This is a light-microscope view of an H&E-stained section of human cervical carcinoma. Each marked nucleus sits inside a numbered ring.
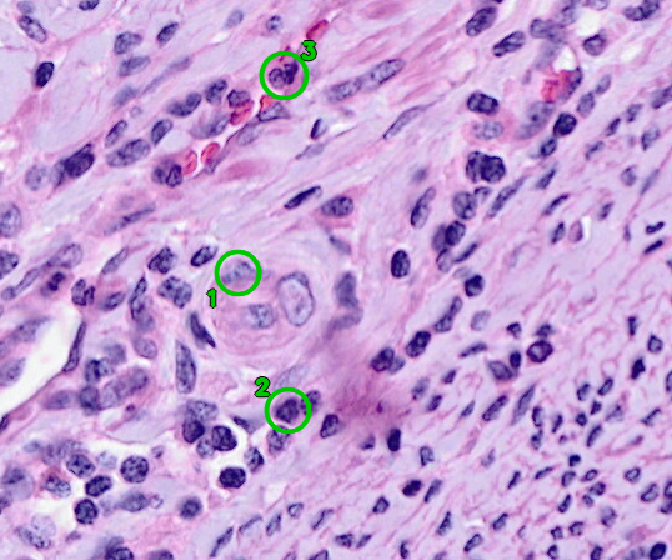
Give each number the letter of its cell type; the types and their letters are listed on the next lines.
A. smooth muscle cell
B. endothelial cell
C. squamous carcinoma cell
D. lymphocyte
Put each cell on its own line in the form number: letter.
1: A
2: D
3: B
